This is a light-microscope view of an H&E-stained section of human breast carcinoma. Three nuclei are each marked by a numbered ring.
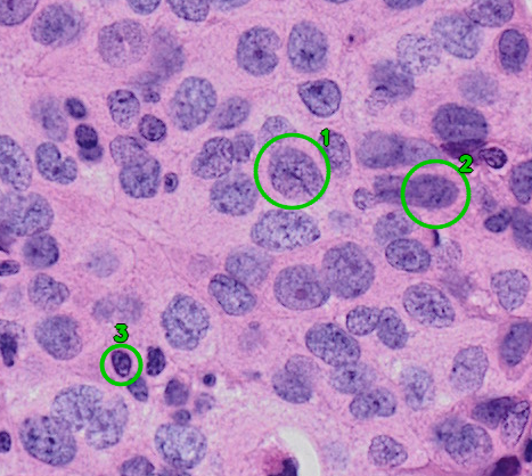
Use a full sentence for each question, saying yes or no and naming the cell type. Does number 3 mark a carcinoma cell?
No, a carcinoma cell is not what cell 3 is; it is a lymphocyte.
